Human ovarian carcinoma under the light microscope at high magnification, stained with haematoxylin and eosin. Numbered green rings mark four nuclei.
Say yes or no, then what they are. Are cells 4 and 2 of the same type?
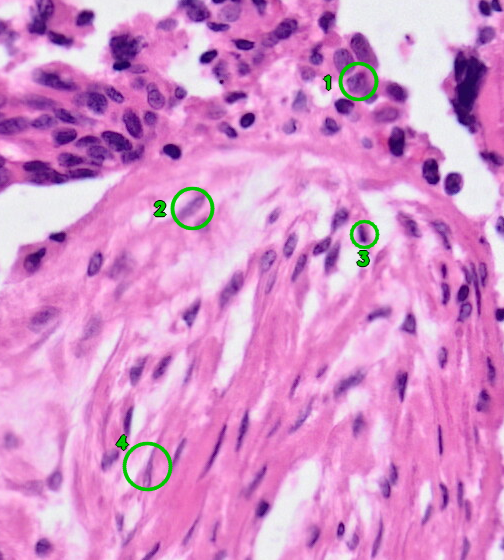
Yes, both cell 4 and cell 2 are fibroblasts.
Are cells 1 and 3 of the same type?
No, listen: cell 1 is a carcinoma cell and cell 3 is a fibroblast.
